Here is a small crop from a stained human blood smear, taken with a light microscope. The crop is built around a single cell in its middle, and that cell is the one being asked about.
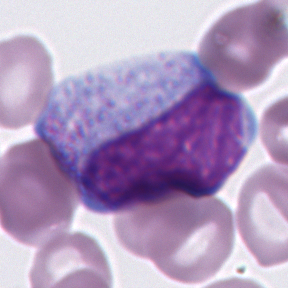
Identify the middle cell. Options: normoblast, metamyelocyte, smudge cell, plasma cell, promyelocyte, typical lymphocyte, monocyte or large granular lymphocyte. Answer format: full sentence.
For this crop, the central cell is a promyelocyte.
